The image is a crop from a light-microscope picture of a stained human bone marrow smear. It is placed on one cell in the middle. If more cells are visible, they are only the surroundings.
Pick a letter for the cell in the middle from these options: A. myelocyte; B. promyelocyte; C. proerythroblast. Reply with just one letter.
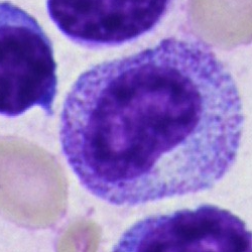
A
